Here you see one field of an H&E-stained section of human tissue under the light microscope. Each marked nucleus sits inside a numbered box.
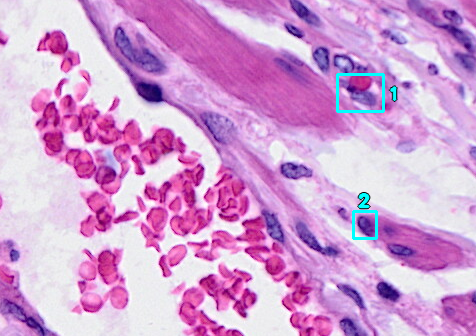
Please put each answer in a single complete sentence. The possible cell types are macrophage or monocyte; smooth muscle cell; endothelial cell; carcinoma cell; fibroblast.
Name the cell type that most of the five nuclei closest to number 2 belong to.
Most of the five nuclei nearest to number 2 are those of macrophages or monocytes.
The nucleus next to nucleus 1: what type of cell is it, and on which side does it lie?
It is an endothelial cell, whose nucleus lies above nucleus 1.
